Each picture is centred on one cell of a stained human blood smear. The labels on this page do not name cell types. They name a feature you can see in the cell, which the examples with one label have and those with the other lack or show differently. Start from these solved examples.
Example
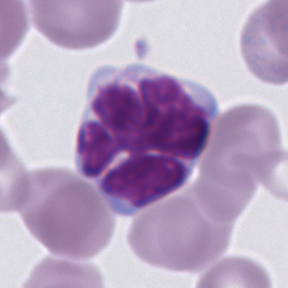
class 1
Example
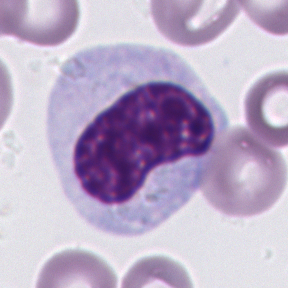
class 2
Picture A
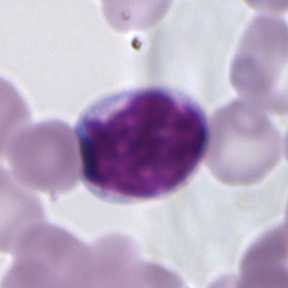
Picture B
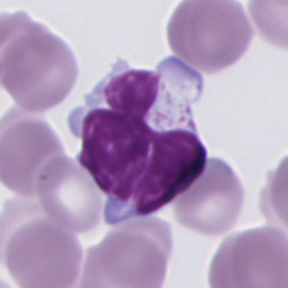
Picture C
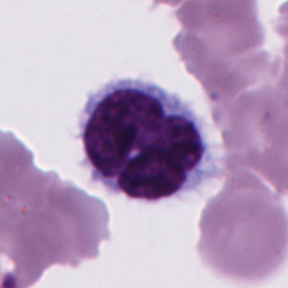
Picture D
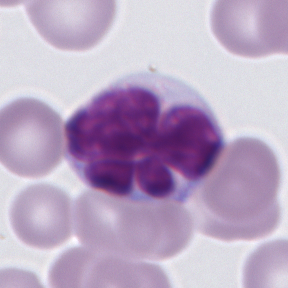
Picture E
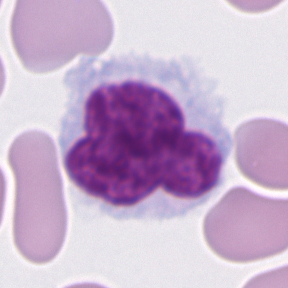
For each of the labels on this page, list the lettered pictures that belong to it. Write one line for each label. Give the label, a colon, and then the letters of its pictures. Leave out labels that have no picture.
class 1: B, C, D, E
class 2: A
